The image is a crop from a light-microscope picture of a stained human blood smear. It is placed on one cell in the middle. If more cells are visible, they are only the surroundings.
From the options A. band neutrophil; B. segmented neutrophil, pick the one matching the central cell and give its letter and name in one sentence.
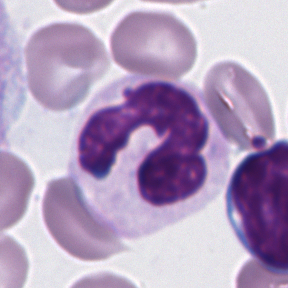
The centrally located cell is a band neutrophil, making option A the correct choice.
